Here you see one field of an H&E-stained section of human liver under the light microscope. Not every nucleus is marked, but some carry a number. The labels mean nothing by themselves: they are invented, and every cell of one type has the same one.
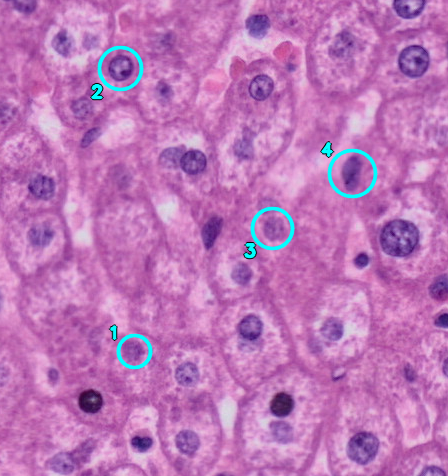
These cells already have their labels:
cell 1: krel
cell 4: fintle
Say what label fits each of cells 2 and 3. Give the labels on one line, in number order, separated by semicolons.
krel; krel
